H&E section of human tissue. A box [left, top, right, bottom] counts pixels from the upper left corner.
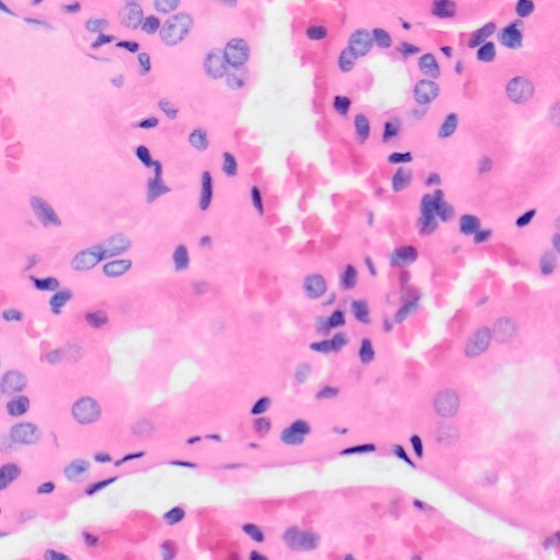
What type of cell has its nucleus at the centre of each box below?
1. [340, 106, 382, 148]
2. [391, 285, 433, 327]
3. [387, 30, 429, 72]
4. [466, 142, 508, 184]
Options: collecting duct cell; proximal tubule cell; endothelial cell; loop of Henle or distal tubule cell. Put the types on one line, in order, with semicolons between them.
collecting duct cell; endothelial cell; collecting duct cell; proximal tubule cell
